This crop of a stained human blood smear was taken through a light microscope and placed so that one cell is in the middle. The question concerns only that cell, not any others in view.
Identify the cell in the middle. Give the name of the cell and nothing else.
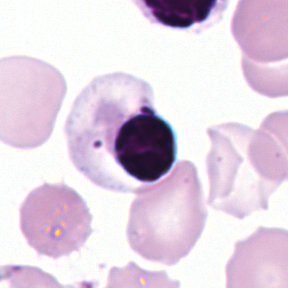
erythroblast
